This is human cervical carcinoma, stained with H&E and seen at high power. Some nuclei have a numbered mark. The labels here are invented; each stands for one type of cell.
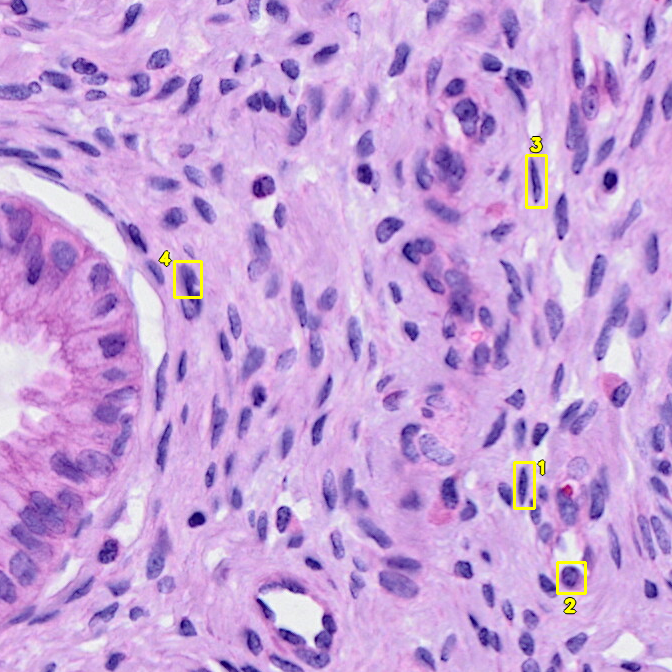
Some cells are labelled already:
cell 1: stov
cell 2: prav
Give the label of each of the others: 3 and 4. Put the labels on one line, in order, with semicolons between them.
stov; stov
